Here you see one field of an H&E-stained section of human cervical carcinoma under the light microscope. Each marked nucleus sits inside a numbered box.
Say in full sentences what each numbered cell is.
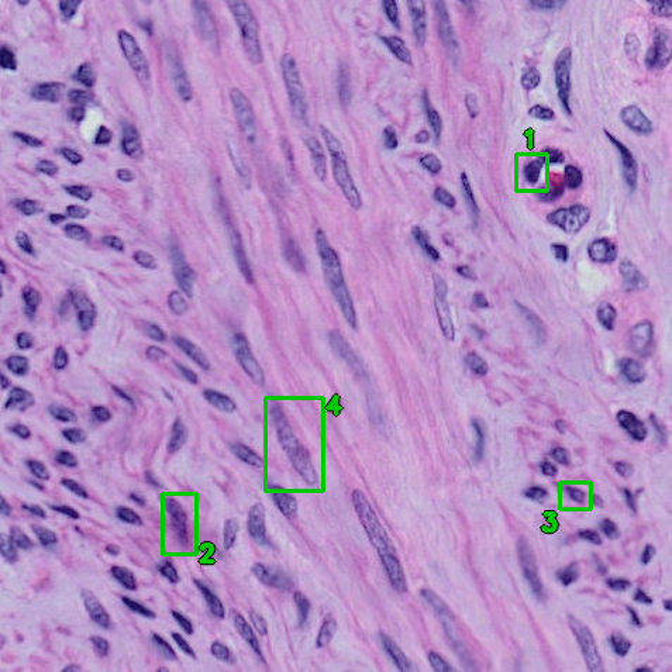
Cell 1 is an endothelial cell, cell 2 is a smooth muscle cell, cell 3 is a smooth muscle cell and cell 4 is a smooth muscle cell.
